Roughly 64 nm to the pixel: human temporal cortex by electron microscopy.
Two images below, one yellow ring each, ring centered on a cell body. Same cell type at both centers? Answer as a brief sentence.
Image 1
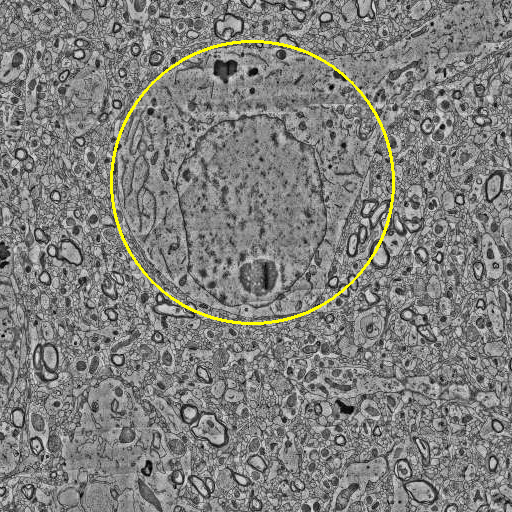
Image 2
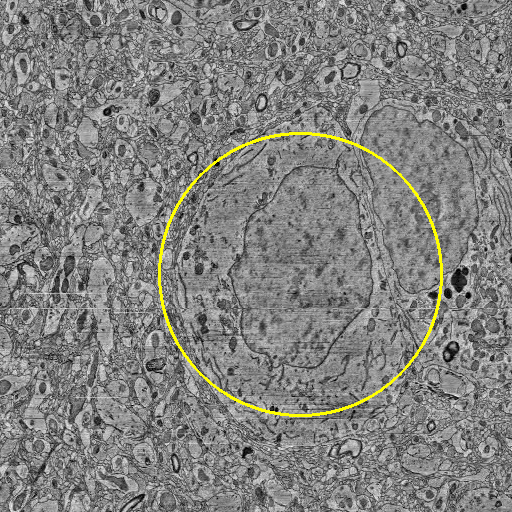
Yes, both cells are of the same type.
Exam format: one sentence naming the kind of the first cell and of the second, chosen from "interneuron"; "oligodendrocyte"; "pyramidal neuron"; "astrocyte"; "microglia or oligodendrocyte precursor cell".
In each picture the ringed cell is a pyramidal neuron.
